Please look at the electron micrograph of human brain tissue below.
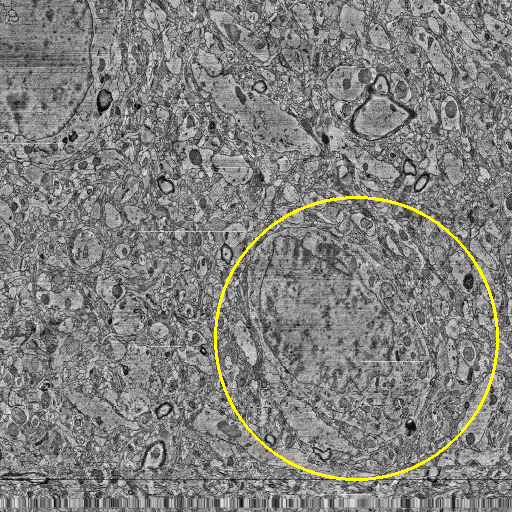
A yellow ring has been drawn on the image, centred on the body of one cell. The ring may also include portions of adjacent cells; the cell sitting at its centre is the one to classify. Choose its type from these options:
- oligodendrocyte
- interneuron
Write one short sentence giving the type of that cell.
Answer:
The cell in the middle of the ring is an interneuron.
